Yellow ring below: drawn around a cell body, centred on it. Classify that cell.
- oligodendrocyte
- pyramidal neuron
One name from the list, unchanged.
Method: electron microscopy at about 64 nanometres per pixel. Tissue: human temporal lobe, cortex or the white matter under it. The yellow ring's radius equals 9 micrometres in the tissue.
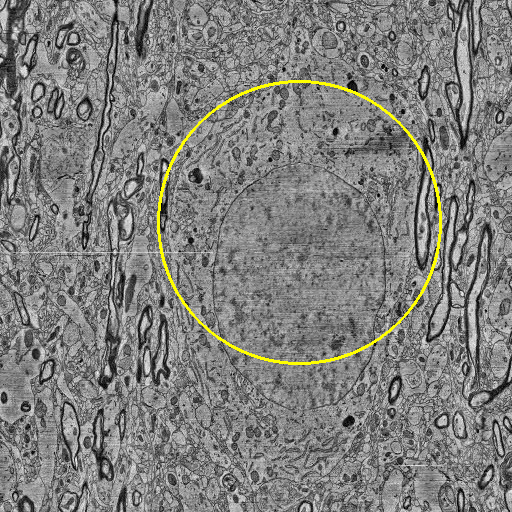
pyramidal neuron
